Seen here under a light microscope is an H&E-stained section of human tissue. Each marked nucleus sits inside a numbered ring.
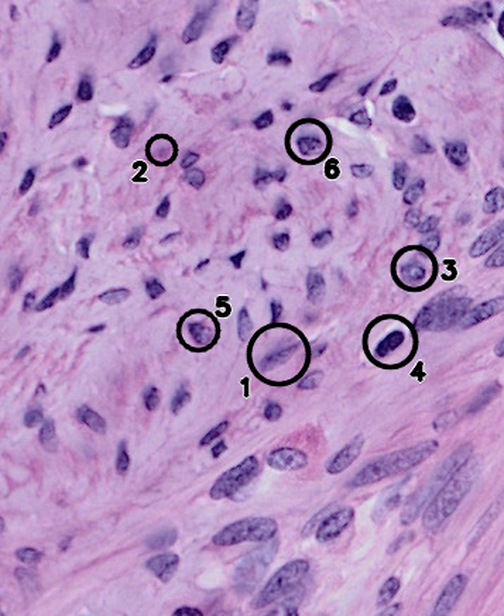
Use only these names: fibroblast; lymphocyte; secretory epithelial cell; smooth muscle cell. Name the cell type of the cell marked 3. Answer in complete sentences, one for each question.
The cell marked with the number 3 is a smooth muscle cell.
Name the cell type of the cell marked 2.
Here the cell numbered 2 is a smooth muscle cell.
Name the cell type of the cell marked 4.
Corresponding to a lymphocyte is the cell labelled 4.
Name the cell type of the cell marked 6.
Cell number 6 in this section is a fibroblast.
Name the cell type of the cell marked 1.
The cell with the number 1 is a smooth muscle cell.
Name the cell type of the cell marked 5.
The nucleus labelled 5 belongs to a smooth muscle cell.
